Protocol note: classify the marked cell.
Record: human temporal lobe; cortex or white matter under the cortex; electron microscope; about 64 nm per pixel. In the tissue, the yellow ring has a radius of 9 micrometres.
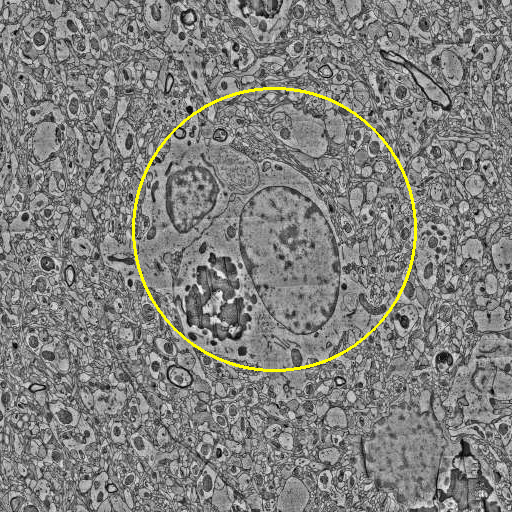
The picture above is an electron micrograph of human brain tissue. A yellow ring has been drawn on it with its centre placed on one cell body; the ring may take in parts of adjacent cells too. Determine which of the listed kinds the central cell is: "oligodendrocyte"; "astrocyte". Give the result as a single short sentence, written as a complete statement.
The central cell is an astrocyte.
